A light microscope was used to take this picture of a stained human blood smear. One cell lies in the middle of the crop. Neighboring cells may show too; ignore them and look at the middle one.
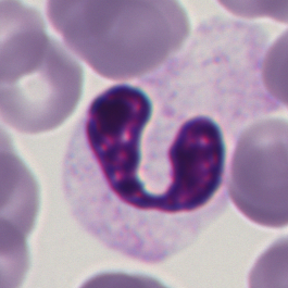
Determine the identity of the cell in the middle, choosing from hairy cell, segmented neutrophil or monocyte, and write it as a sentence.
At the middle of the frame sits a segmented neutrophil.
